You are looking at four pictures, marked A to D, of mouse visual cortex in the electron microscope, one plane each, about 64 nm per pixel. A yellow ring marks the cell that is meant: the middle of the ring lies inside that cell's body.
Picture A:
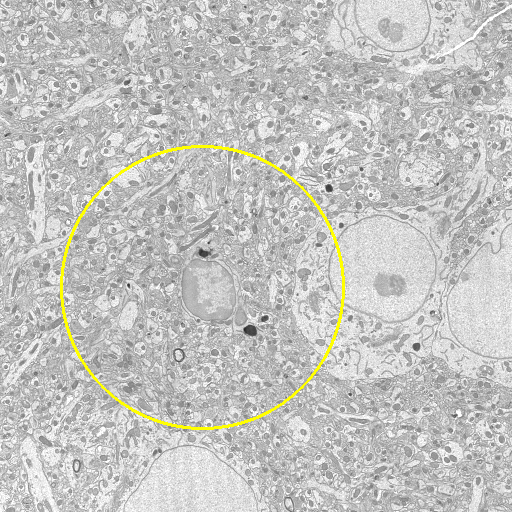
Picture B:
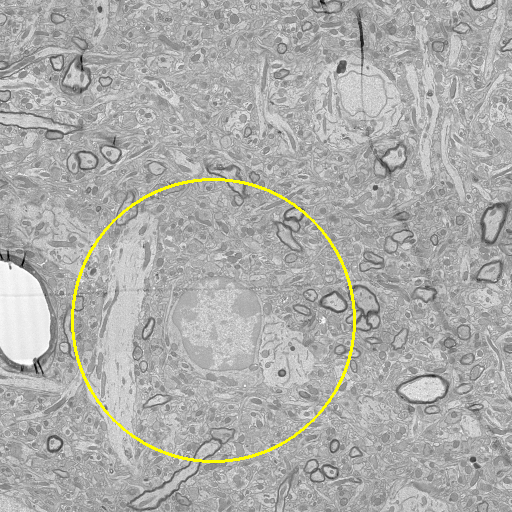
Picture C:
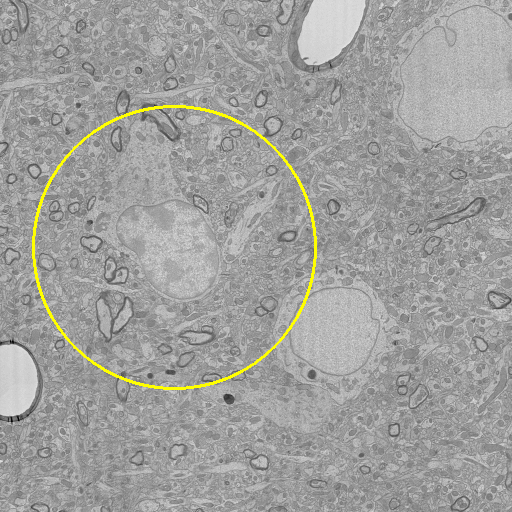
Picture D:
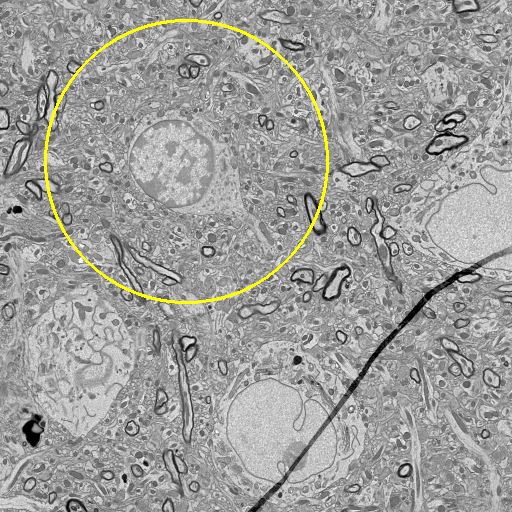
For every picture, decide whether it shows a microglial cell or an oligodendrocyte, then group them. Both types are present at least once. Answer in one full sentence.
Picture A shows a microglial cell, while pictures B, C and D show oligodendrocytes.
